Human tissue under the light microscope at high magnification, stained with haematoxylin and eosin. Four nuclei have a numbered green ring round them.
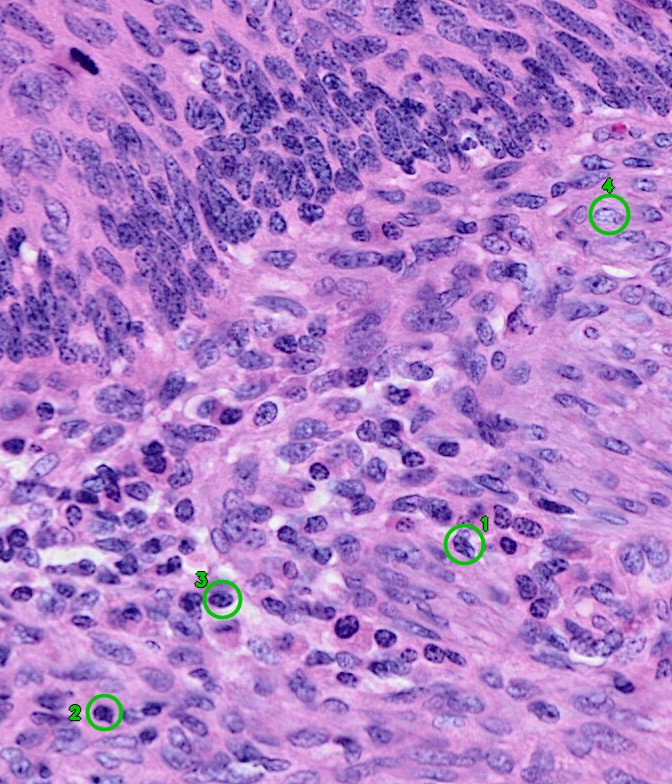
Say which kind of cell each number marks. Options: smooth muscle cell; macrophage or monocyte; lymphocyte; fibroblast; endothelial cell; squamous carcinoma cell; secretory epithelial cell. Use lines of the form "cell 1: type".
cell 1: lymphocyte
cell 2: lymphocyte
cell 3: lymphocyte
cell 4: smooth muscle cell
